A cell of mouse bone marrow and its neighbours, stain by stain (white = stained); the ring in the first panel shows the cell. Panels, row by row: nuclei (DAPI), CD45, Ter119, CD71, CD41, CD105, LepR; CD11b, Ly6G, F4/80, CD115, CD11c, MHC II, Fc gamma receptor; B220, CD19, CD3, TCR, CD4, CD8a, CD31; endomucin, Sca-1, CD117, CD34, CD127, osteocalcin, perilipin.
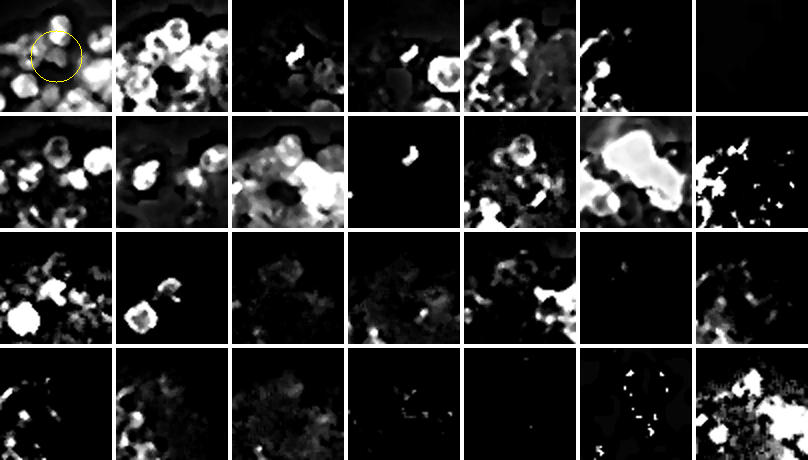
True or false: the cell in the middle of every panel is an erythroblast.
False; it is a B cell.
